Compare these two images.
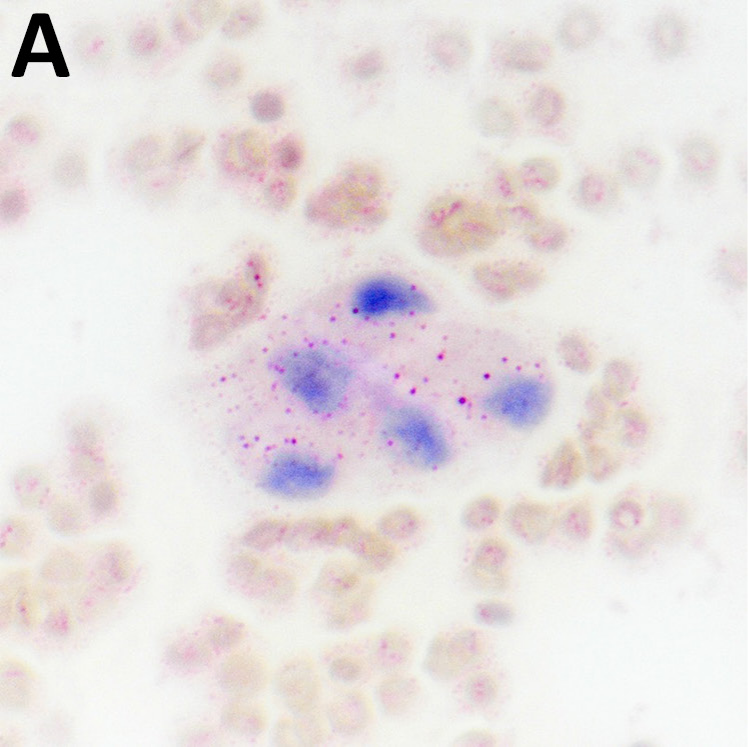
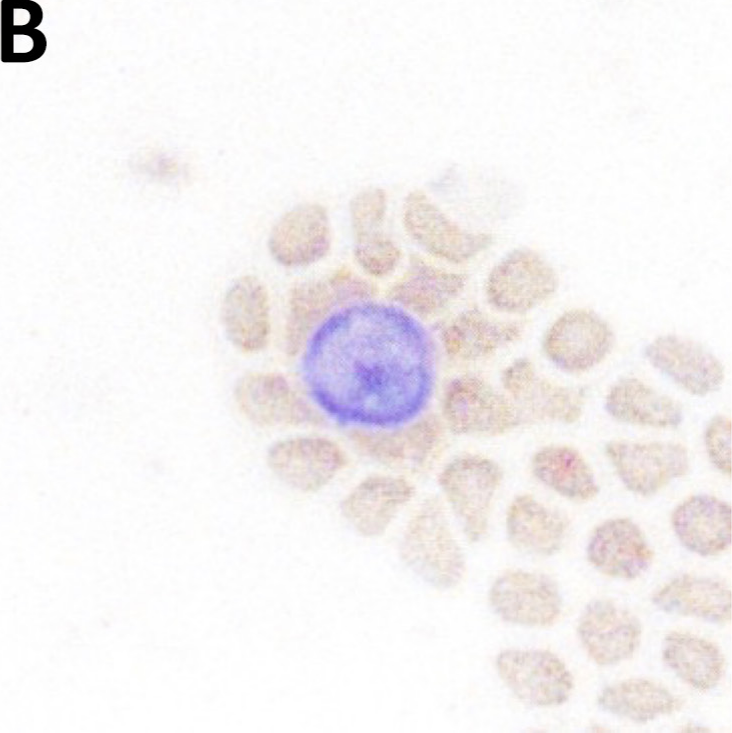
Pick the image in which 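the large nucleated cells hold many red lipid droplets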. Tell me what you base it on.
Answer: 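The first image. First image: large nucleated cells with pale pink cytoplasm dotted with many red droplets.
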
